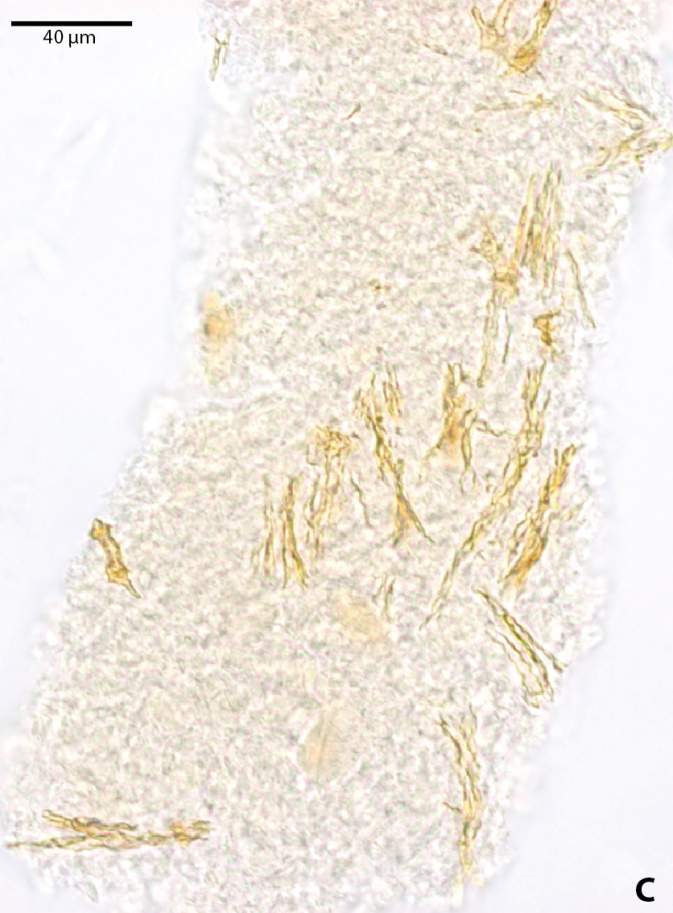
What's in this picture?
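The layer is pale and granular, and thin yellow-brown fibril-like strands are embedded in it. The strands lie singly or in small, loosely parallel groups, running mostly along the long axis of the fragment.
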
